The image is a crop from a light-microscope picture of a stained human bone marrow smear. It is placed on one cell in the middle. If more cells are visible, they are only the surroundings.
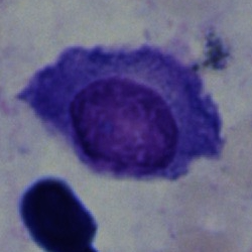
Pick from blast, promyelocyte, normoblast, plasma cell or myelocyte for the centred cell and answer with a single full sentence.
In the crop, the cell of interest at the centre is a plasma cell.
